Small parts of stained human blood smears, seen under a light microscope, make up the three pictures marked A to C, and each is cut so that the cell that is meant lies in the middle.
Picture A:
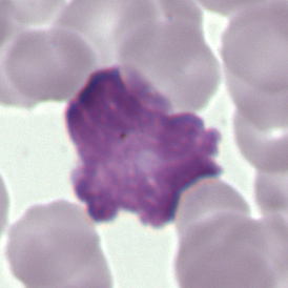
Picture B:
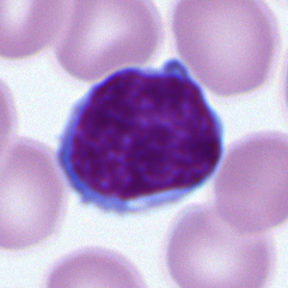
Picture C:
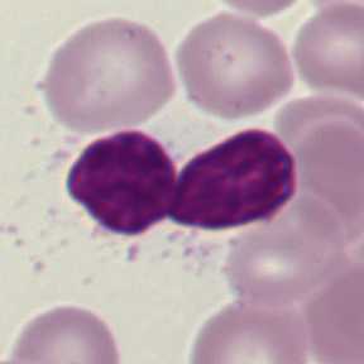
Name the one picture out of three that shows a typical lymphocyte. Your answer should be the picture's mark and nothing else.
B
